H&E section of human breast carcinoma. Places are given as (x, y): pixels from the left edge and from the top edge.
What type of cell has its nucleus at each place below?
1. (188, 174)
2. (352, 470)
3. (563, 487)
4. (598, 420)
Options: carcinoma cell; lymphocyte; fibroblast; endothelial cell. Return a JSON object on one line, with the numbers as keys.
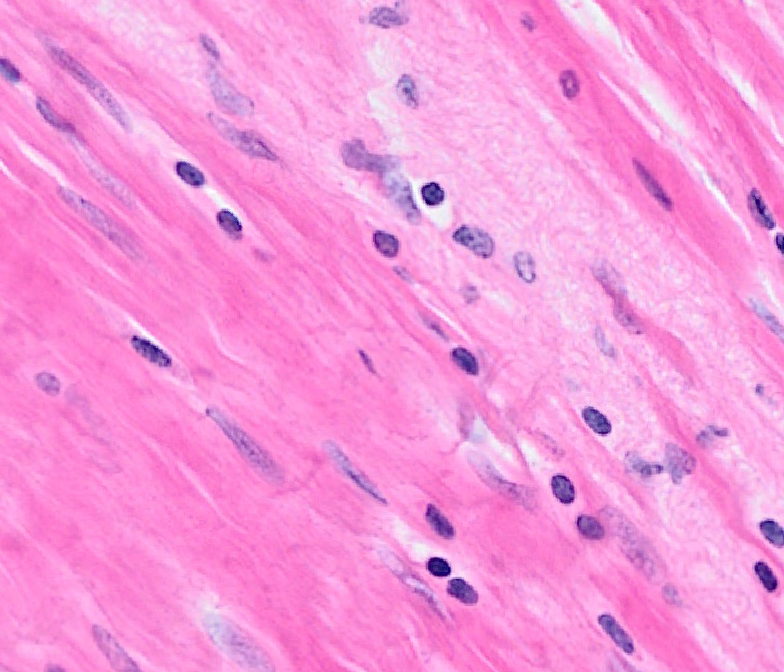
{"1": "lymphocyte", "2": "fibroblast", "3": "lymphocyte", "4": "lymphocyte"}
